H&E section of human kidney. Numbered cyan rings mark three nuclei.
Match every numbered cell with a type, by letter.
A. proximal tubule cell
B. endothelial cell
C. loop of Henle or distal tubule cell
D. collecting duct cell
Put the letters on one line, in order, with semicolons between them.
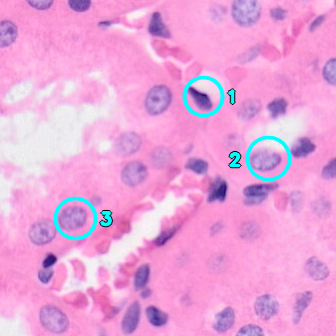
B; C; A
